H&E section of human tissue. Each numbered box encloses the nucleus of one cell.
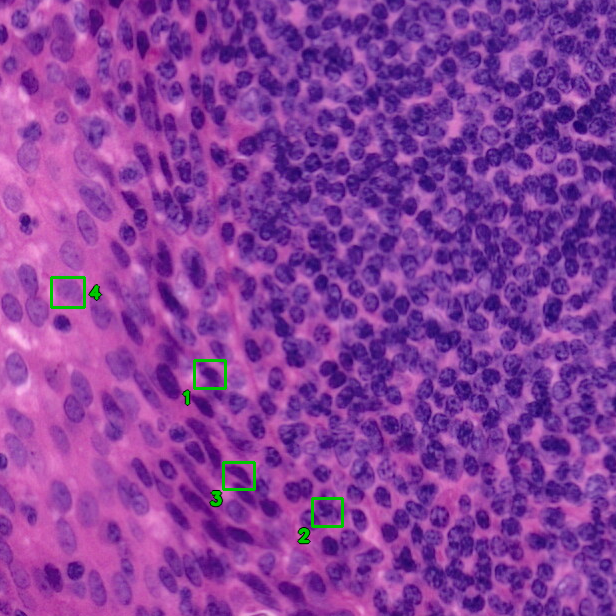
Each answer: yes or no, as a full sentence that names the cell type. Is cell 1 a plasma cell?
No, cell 1 is not a plasma cell: it is a squamous epithelial cell.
